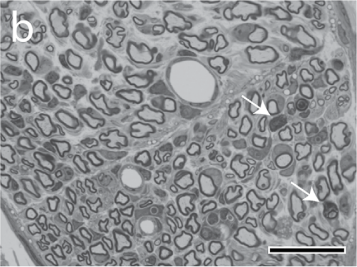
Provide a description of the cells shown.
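Peripheral nerve in cross section with myelinated axons of mixed, often small calibre, their dark myelin rings thin and their profiles irregular, set loosely in more pale intervening tissue. Scattered dark, dense, clumped profiles of degenerating myelin lie among the fibres, and a large round vessel lumen is present.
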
